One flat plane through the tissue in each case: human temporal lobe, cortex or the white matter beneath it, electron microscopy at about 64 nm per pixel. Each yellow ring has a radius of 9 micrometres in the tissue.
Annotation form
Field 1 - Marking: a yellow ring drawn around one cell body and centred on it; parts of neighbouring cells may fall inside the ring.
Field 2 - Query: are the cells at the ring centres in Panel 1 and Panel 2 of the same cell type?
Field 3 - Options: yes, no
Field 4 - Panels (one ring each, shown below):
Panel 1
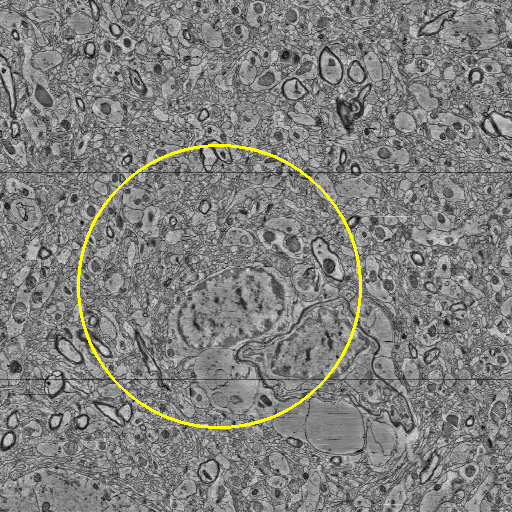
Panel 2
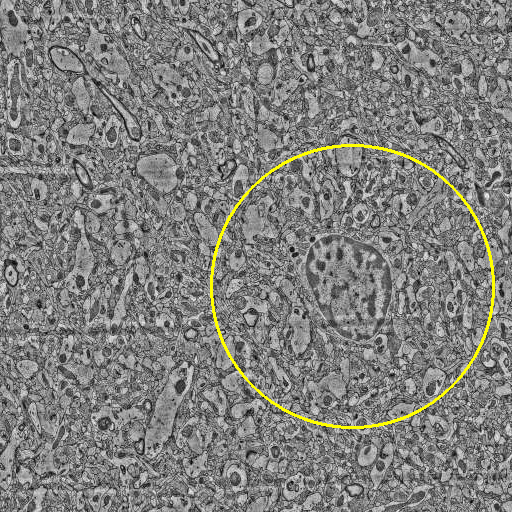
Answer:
yes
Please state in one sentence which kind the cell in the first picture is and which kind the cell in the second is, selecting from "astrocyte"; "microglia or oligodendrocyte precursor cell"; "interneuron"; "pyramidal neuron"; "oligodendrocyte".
Both the first and the second picture show a microglial cell or oligodendrocyte precursor cell in the ring.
